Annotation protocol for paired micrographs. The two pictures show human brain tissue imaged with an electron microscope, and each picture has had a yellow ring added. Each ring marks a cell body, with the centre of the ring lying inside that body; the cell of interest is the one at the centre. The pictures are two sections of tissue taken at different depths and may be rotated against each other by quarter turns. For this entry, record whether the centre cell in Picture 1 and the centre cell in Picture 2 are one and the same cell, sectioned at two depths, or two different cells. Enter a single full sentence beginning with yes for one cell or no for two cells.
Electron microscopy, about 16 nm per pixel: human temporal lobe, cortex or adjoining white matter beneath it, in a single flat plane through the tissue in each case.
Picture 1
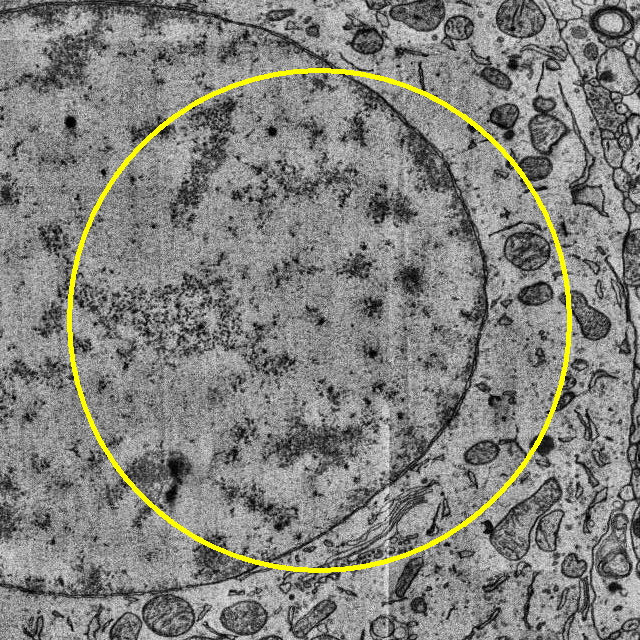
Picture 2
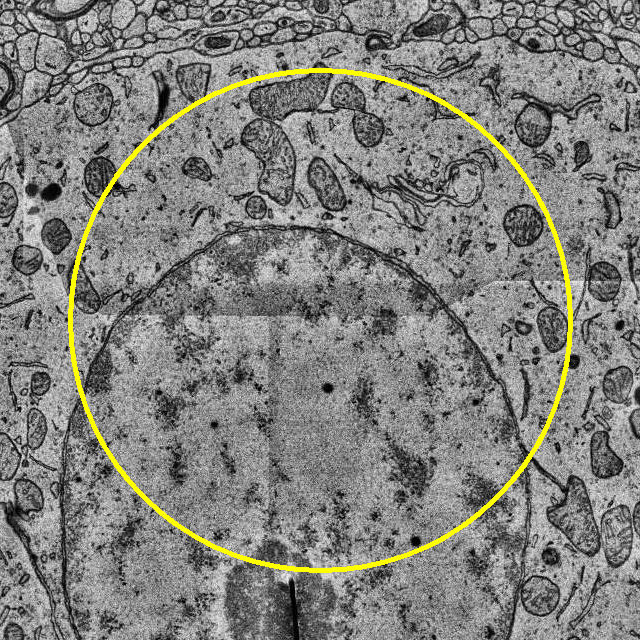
Yes, the same individual cell is enclosed by both rings.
